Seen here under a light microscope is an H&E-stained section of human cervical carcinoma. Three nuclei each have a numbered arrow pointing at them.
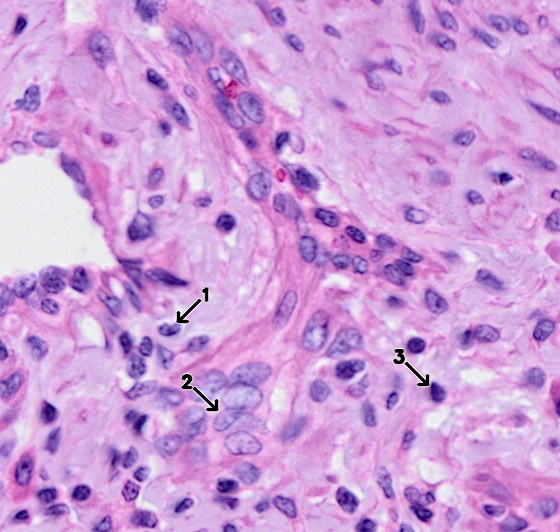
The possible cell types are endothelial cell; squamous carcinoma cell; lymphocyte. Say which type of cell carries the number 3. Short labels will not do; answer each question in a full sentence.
Corresponding to a lymphocyte is the cell labelled 3.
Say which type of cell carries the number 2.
Number 2 among the marked cells is an endothelial cell.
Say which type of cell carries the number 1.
The cell to which the number 1 is assigned is a lymphocyte.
